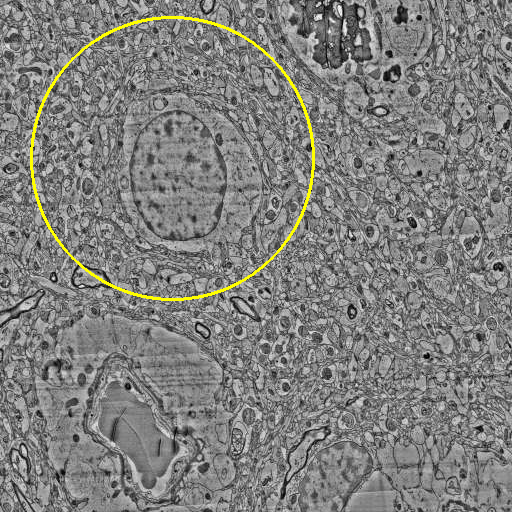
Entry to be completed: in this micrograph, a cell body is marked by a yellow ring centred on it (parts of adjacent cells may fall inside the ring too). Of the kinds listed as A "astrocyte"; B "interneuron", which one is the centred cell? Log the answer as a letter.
A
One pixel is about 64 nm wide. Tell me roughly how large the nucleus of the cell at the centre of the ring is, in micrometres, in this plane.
Roughly 8 micrometres by 7 micrometres, in this plane.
